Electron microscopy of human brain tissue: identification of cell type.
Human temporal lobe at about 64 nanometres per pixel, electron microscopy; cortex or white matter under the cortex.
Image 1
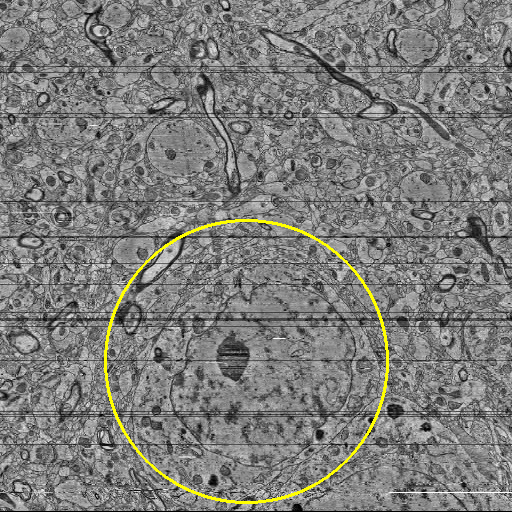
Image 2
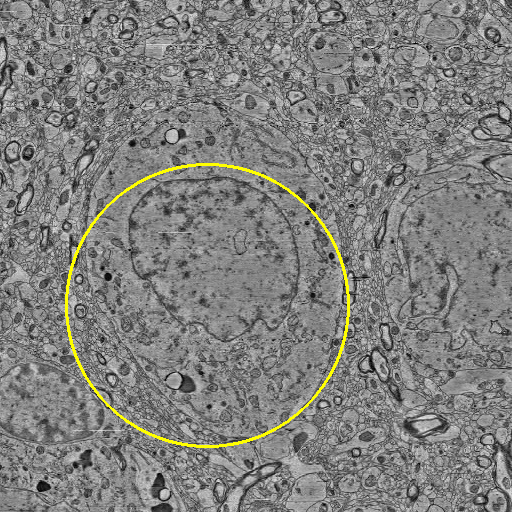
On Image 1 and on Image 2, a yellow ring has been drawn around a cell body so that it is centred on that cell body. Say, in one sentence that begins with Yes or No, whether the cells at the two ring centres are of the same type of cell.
Yes, both cells are the same type of cell.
